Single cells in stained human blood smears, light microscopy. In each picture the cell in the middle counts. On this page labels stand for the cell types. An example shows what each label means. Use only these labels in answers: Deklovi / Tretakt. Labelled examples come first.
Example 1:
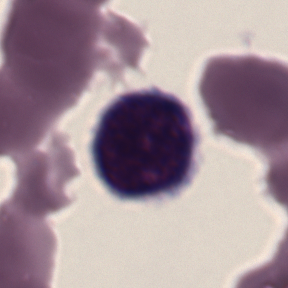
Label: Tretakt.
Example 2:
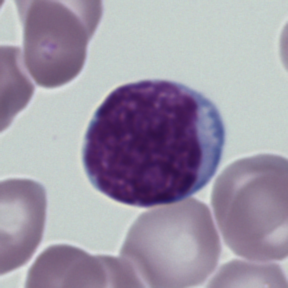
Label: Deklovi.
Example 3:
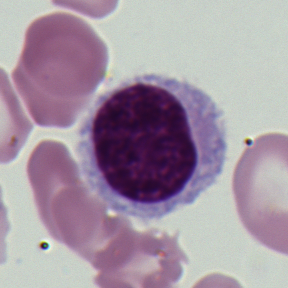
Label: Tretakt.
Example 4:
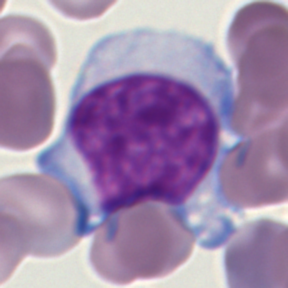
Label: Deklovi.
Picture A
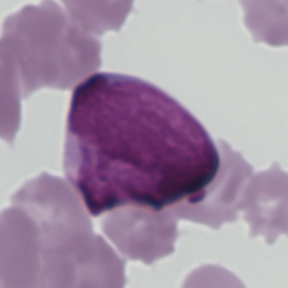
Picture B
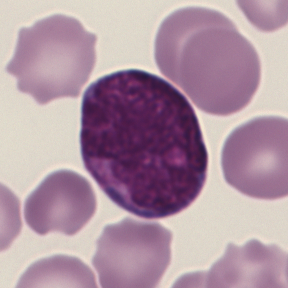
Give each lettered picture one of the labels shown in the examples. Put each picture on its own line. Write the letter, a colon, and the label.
A: Deklovi.
B: Deklovi.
